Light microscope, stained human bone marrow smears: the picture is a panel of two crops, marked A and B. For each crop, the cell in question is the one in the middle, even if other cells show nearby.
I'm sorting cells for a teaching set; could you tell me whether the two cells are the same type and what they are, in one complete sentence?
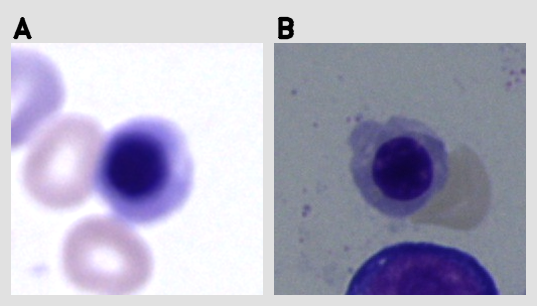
Yes, that is right, both crops show erythroblasts.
